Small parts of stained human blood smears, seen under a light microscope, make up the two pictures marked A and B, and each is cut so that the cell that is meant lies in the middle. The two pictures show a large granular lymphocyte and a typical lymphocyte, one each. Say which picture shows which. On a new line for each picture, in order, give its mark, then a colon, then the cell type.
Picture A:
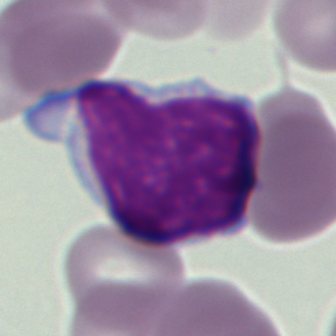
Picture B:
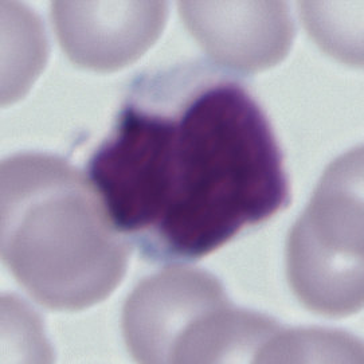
A: large granular lymphocyte
B: typical lymphocyte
